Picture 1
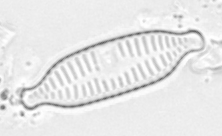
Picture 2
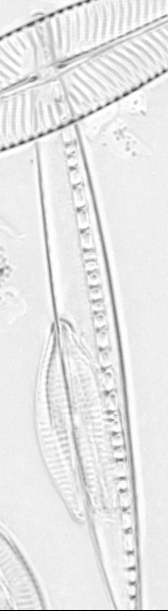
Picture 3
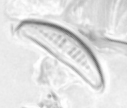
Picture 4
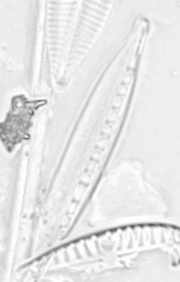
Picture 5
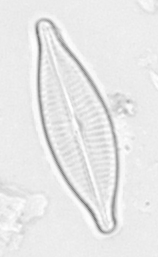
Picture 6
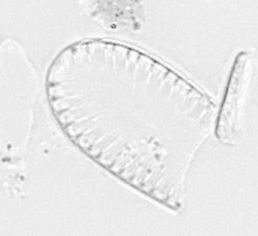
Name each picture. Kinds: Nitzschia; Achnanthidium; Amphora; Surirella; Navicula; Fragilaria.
(1) Fragilaria
(2) Nitzschia
(3) Amphora
(4) Nitzschia
(5) Navicula
(6) Surirella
